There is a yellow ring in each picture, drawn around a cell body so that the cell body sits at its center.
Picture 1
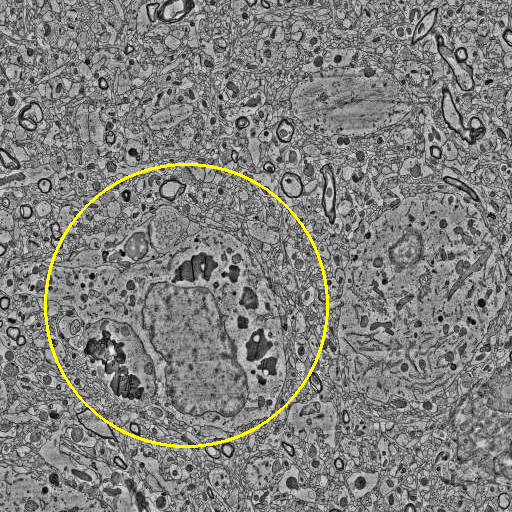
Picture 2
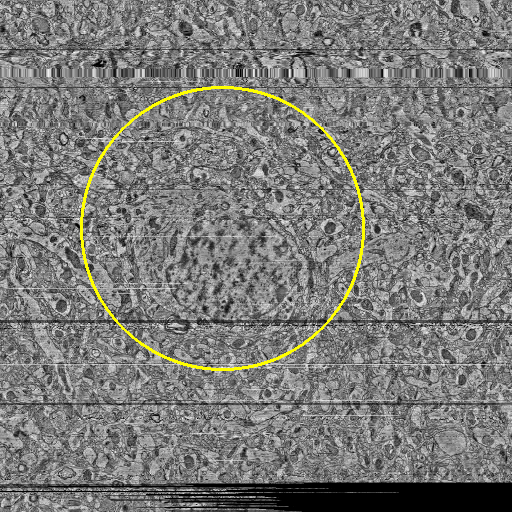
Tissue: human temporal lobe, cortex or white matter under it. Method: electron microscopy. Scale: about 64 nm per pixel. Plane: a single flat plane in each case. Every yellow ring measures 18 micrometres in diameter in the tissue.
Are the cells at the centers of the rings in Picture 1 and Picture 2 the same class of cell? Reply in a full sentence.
Yes, the two cells are the same class of cell.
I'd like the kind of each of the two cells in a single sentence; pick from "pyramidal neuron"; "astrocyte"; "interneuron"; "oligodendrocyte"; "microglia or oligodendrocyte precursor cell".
In each of the two pictures, the ringed cell is an interneuron.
